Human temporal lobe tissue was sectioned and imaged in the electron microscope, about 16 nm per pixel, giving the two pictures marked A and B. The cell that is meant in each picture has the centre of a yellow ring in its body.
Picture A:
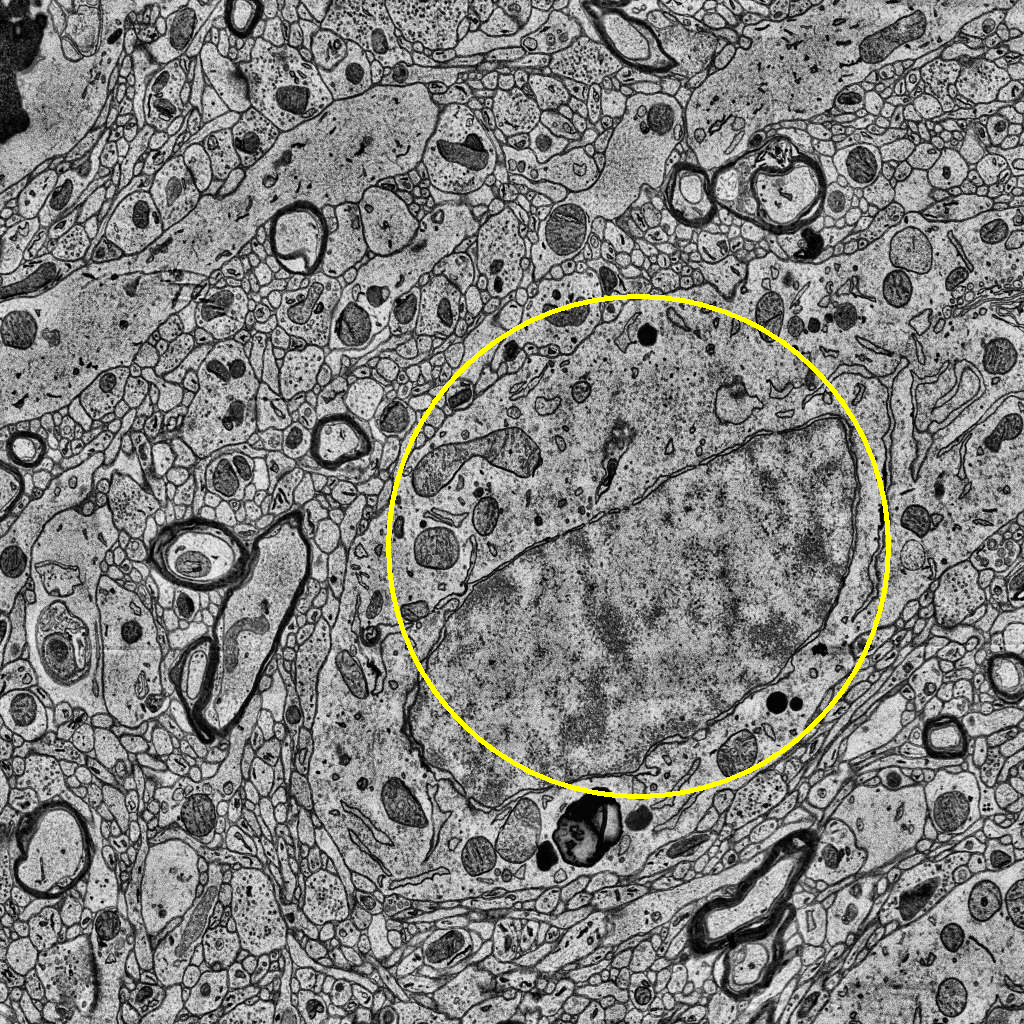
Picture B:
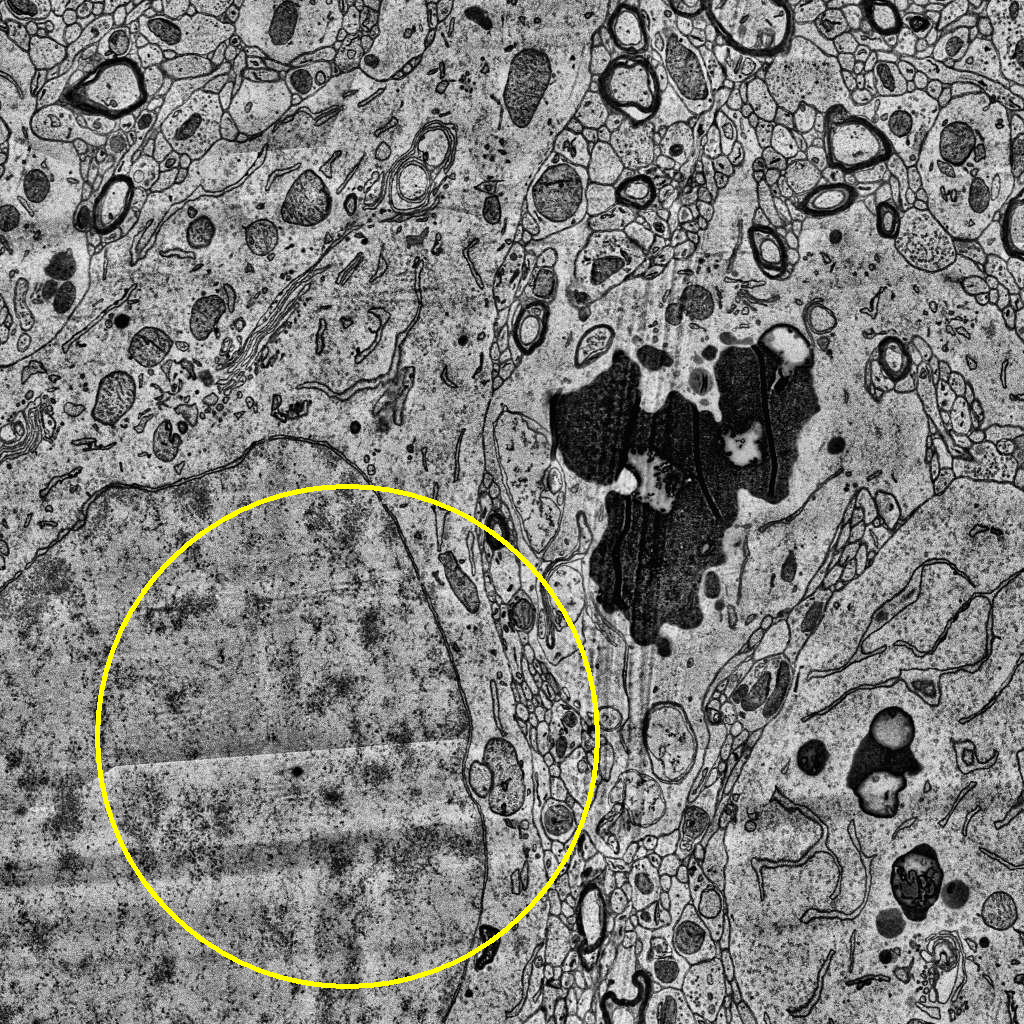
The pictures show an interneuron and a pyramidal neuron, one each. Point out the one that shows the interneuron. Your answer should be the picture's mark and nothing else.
A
